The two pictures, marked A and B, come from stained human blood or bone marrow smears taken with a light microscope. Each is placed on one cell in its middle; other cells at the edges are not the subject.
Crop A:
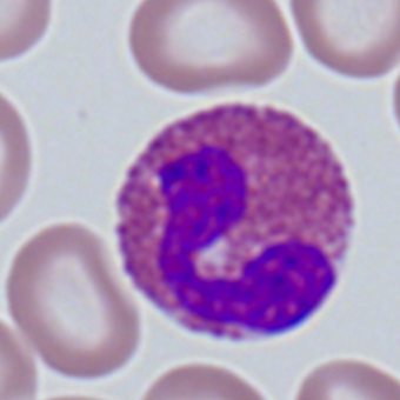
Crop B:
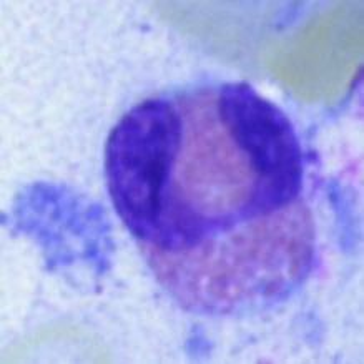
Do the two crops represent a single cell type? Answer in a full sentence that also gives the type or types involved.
Yes, the central cells in both crops are eosinophils.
